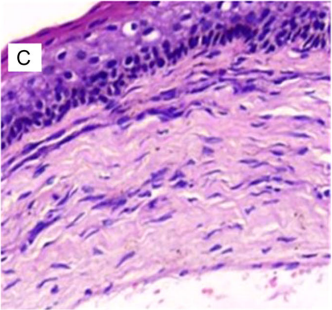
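This is the epithelial lining of a keratocyst over its connective tissue wall. The basal layer is a regular palisade of cells with dark, elongated purple nuclei, above which lie a few layers of cells with paler, partly vacuolated cytoplasm, capped by a thin pink surface layer. The epithelium runs as a continuous band with a flat junction to the wall. Beneath it the wall holds wavy pink collagen with scattered spindle-shaped cells with dark nuclei.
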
